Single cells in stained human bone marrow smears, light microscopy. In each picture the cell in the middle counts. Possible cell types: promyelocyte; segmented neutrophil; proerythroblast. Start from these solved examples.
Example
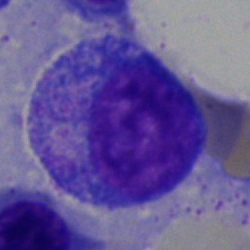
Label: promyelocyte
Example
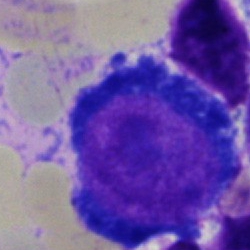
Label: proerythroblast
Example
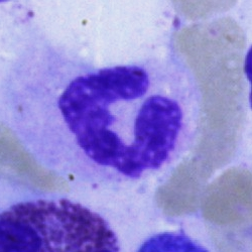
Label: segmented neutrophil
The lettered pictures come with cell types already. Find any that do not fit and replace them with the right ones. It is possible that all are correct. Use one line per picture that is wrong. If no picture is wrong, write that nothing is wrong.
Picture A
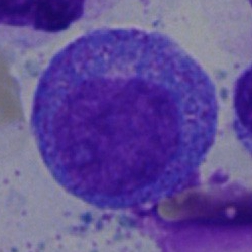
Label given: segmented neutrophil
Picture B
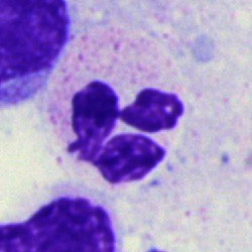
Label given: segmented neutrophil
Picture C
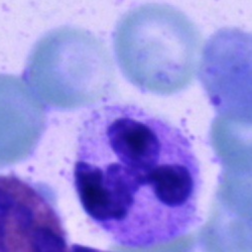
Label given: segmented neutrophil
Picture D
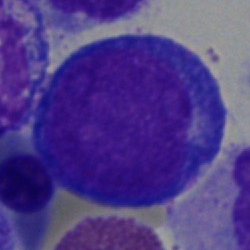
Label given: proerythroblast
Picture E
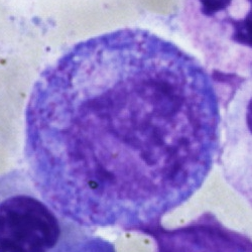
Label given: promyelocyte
A: not segmented neutrophil but promyelocyte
